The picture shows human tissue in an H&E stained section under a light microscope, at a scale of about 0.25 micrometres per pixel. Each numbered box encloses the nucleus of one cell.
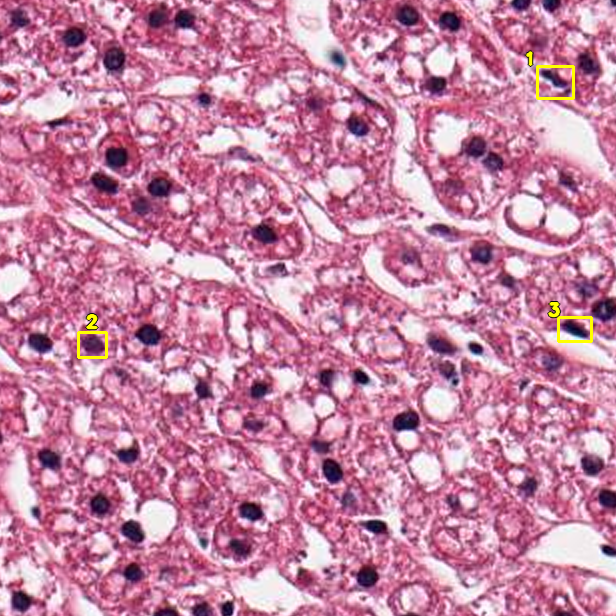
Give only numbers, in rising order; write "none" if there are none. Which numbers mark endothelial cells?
1, 3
